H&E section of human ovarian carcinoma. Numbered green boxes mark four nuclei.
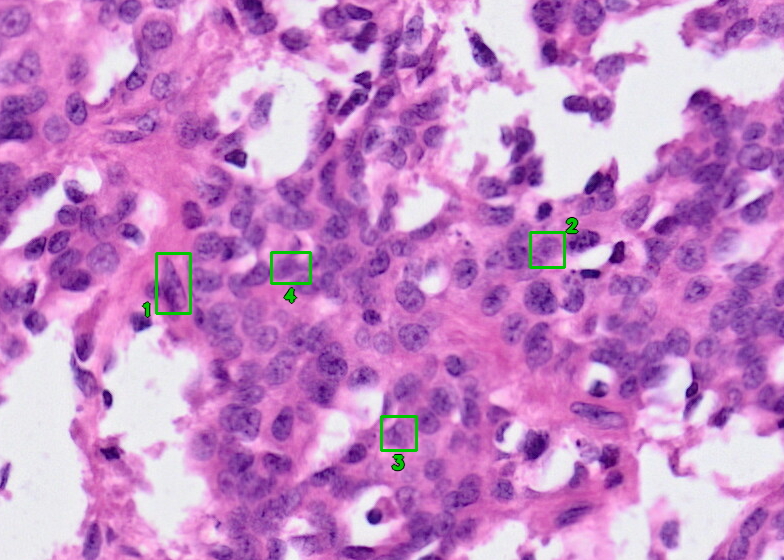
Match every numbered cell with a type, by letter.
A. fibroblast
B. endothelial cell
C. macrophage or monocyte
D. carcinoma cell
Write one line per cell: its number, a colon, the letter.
1: B
2: D
3: D
4: D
